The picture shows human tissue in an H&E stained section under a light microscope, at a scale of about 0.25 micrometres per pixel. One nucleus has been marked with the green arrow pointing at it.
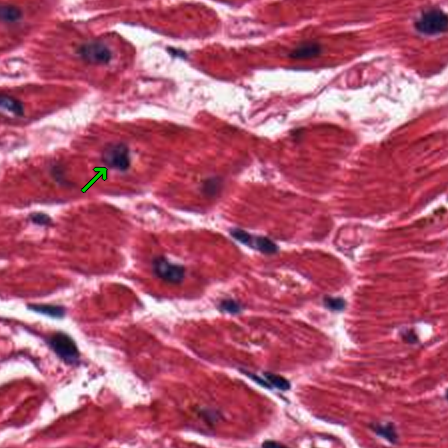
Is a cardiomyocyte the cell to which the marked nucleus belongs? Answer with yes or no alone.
yes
